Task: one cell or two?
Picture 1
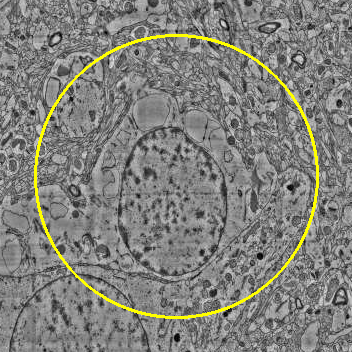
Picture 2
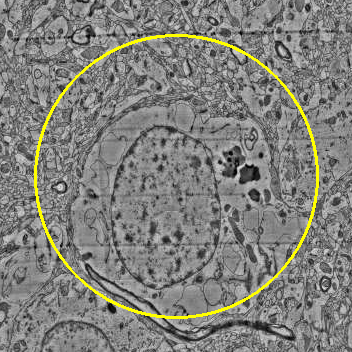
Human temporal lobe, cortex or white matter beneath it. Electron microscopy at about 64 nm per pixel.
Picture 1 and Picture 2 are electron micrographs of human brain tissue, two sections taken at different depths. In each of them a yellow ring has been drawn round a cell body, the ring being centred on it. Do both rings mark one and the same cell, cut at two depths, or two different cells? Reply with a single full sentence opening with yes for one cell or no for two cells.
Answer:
Yes, one and the same cell lies under both rings.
